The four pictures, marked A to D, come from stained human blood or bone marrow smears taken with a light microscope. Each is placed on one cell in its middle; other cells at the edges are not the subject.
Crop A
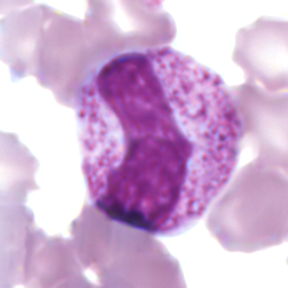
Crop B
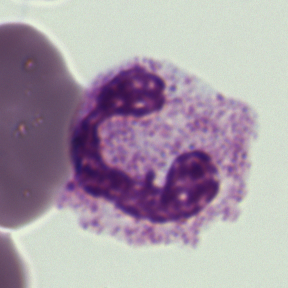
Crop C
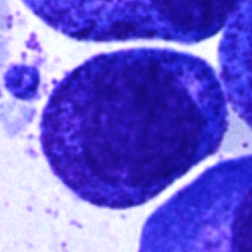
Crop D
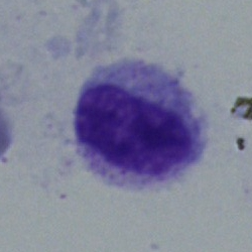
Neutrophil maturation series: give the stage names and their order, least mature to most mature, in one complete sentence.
Least mature first and most mature last, the order is crop C (a promyelocyte), crop D (a metamyelocyte), crop A (a band neutrophil) and crop B (a segmented neutrophil).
